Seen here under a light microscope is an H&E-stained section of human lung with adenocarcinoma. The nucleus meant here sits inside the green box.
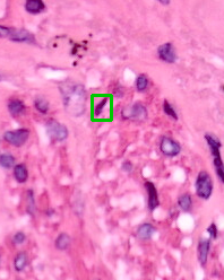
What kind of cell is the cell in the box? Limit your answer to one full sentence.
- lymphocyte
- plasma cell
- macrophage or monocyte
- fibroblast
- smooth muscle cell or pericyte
In cellular terms, the cell in the box is a smooth muscle cell or pericyte.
